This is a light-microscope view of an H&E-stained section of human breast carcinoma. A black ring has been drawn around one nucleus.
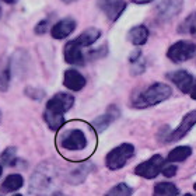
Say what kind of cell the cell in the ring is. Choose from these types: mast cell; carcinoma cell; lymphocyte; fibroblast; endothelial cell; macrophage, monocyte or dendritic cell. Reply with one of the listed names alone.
lymphocyte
